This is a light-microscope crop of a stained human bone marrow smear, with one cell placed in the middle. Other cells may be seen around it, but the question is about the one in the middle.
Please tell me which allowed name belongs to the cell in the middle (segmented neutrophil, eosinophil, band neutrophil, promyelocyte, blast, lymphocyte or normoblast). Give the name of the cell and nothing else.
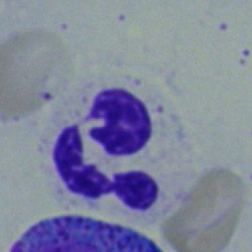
segmented neutrophil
